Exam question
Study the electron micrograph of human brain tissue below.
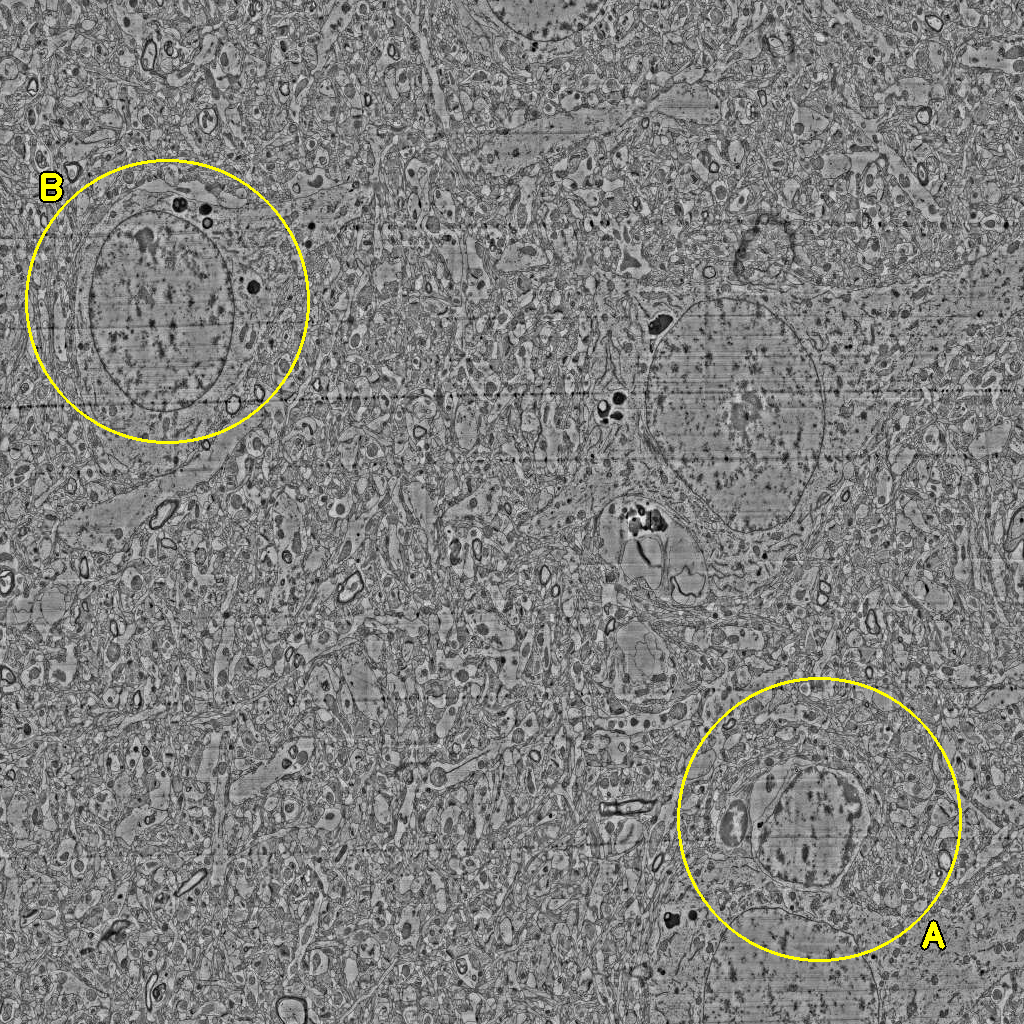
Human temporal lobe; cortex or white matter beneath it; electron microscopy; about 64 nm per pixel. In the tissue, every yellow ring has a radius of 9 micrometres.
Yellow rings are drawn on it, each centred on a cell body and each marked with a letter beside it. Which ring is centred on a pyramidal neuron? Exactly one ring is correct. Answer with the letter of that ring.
B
